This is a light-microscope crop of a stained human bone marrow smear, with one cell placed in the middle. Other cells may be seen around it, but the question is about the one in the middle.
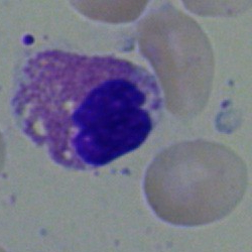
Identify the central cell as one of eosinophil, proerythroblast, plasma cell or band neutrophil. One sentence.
The cell centered in this field of view is an eosinophil.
